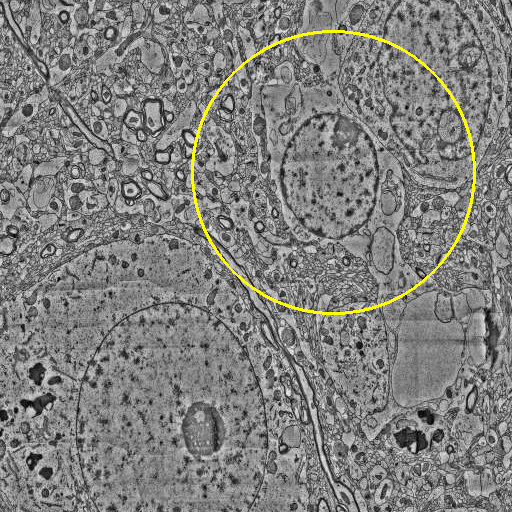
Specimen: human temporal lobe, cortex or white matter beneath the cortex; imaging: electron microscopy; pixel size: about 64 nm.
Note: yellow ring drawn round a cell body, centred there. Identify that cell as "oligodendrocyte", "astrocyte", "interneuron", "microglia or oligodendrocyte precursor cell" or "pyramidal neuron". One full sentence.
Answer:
The cell in the middle of the ring is an astrocyte.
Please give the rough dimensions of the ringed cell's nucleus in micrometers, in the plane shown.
The nucleus of the ringed cell is approximately 8 by 6 micrometres in this plane.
